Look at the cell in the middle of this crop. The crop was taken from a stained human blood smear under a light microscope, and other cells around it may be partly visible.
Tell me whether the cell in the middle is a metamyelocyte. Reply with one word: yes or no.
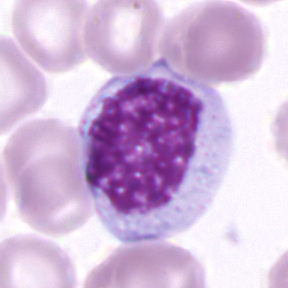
no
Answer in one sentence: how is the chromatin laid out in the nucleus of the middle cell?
If you check the nucleus, you will find the chromatin coarsely clumped.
